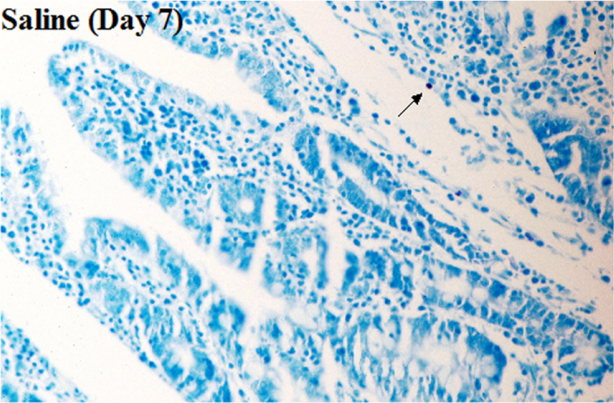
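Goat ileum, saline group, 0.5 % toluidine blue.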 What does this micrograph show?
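This is the small intestinal mucosa in light blue, with folds lined by tall columnar epithelium and a cell-rich connective tissue core between them. A single small cell stands out dark purple in the connective tissue, a mast cell, while the remaining nuclei stain plain blue.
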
